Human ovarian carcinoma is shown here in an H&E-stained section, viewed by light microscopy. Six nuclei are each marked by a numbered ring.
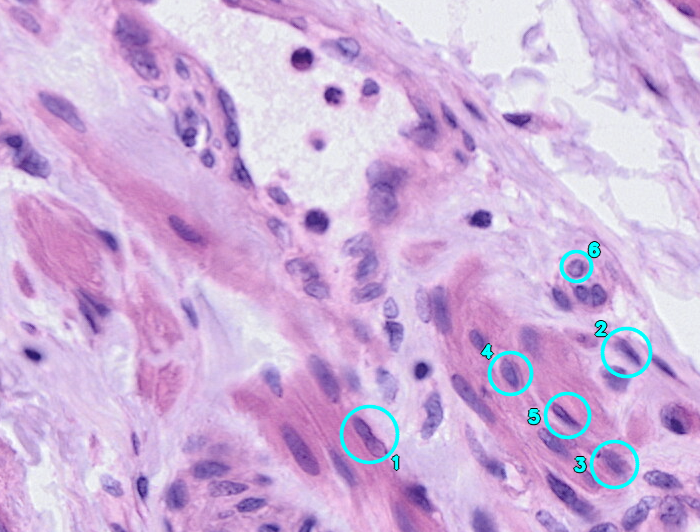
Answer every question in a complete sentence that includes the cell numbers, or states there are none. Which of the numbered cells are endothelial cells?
Being an endothelial cell is true of cell 6 and of no other numbered cell.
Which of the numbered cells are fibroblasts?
It is only cell 2 that is a fibroblast among the numbered cells.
